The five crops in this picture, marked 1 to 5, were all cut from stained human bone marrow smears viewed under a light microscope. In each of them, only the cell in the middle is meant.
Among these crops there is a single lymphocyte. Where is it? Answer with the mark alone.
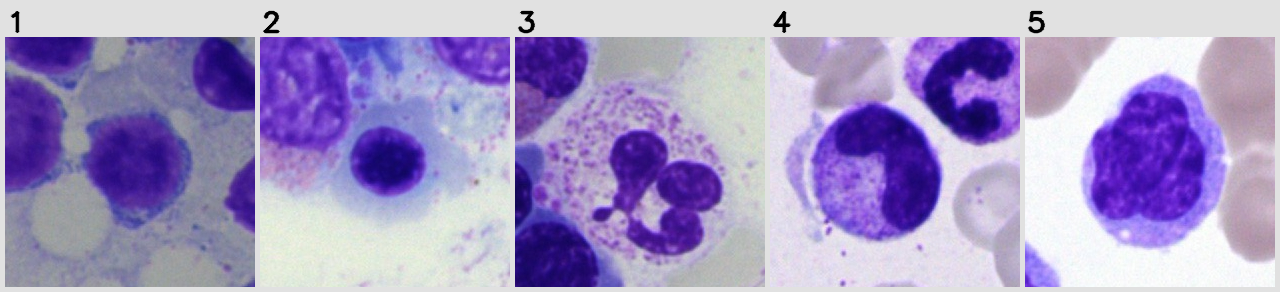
1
